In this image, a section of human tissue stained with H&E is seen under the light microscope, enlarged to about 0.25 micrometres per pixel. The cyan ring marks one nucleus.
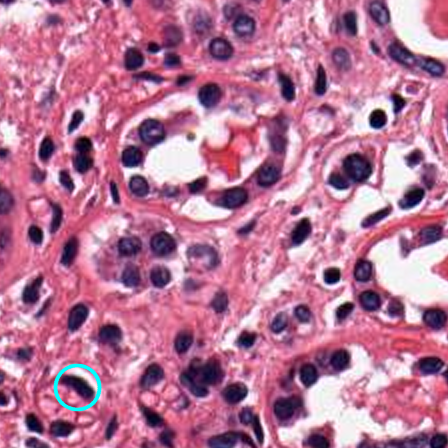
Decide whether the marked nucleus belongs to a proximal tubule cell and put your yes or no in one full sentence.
No, a supporting cell rather than a proximal tubule cell is the cell of the marked nucleus.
